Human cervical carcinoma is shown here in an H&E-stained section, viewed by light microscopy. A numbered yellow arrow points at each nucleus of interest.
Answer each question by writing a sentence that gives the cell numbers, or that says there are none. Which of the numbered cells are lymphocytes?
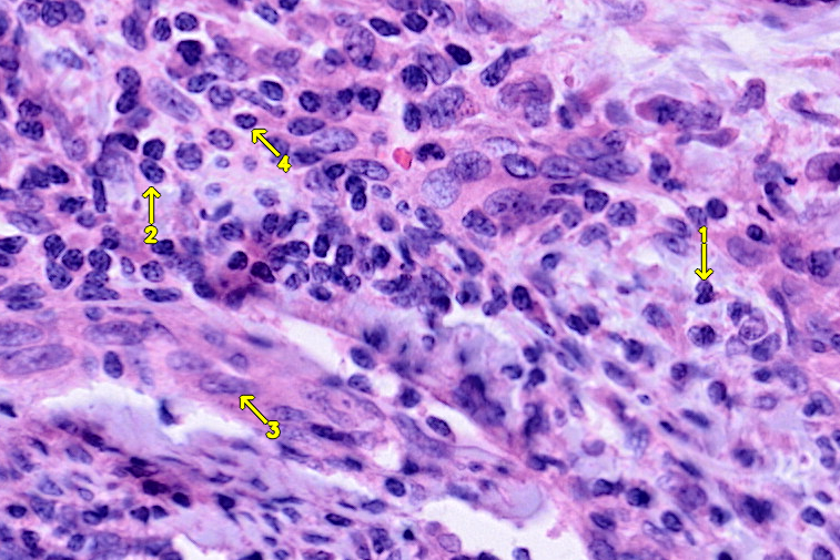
The cells which carry the numbers 1, 2 and 4 are lymphocytes.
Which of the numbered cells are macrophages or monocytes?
Each of the numbered cells is a cell other than one of the macrophages or monocytes.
